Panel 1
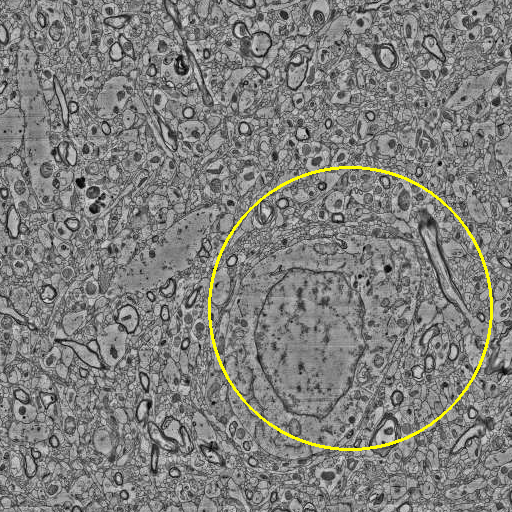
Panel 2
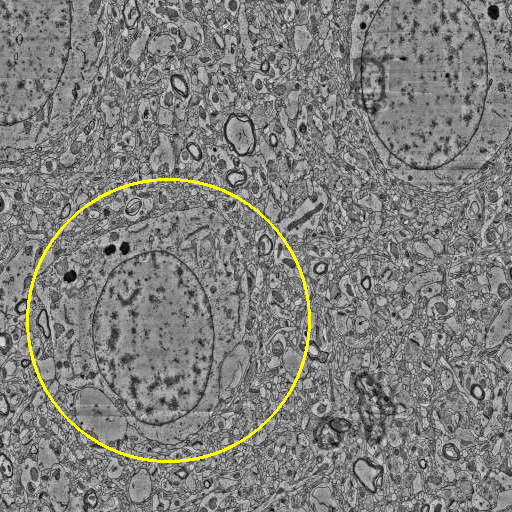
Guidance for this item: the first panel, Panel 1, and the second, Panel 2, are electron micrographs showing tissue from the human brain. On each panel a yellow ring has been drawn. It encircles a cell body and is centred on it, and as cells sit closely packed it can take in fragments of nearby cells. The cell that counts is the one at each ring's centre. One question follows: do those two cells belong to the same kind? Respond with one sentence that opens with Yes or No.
Yes, the cells at the ring centres in Panel 1 and Panel 2 are of one kind.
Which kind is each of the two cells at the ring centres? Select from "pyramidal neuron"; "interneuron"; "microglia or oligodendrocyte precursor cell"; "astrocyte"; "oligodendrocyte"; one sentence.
Each of the two cells is a pyramidal neuron.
